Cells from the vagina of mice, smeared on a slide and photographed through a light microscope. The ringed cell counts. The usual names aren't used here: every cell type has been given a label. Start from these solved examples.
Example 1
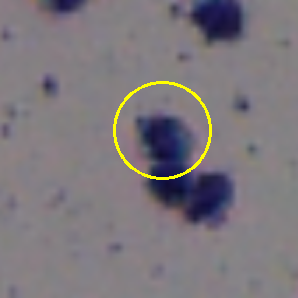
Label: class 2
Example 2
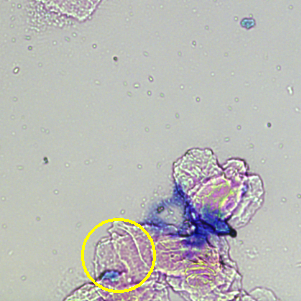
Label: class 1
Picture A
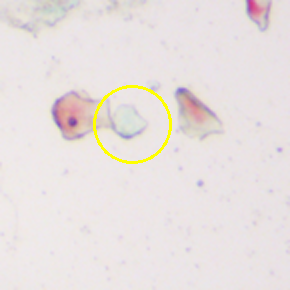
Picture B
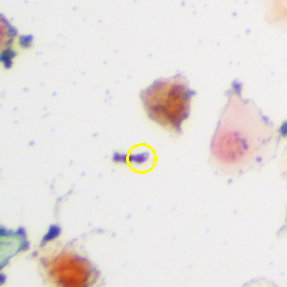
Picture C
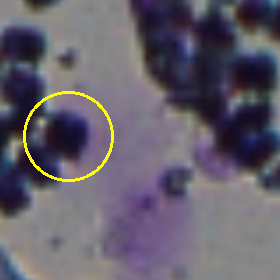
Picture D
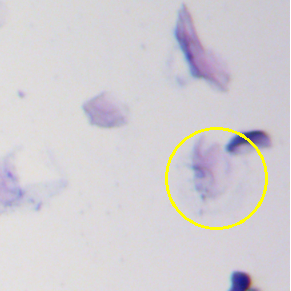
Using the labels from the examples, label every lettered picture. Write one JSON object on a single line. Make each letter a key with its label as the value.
{"A": "class 1", "B": "class 2", "C": "class 2", "D": "class 1"}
